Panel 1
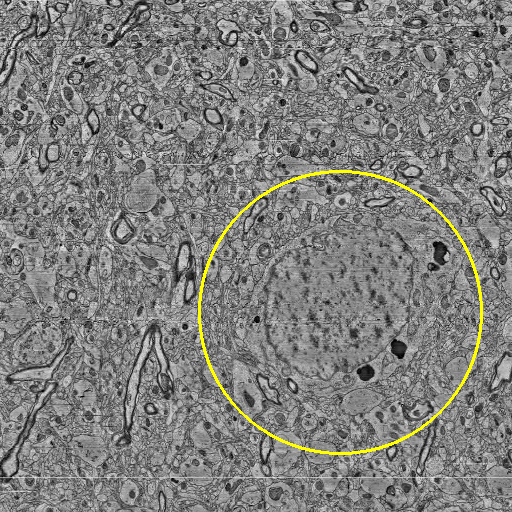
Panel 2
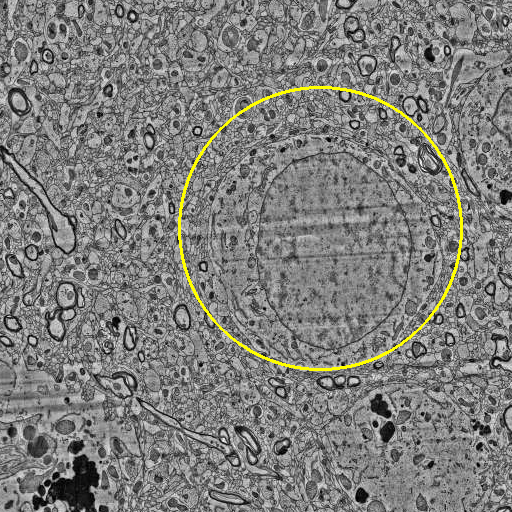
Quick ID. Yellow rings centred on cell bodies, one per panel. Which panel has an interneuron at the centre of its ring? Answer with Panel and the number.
Panel 1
